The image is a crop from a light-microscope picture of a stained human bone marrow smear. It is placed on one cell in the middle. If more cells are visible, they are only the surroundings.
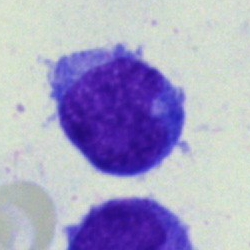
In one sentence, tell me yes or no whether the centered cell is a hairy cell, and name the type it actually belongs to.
No, the cell centered in the crop is a blast, not a hairy cell.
